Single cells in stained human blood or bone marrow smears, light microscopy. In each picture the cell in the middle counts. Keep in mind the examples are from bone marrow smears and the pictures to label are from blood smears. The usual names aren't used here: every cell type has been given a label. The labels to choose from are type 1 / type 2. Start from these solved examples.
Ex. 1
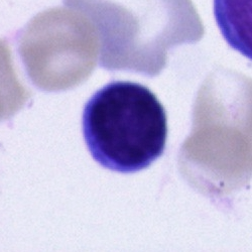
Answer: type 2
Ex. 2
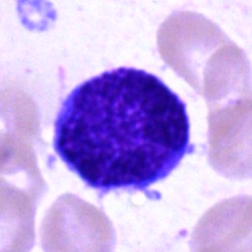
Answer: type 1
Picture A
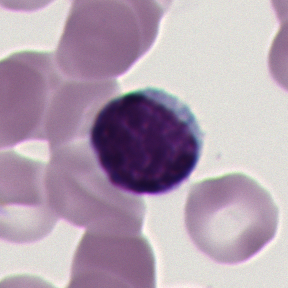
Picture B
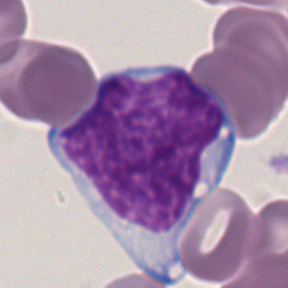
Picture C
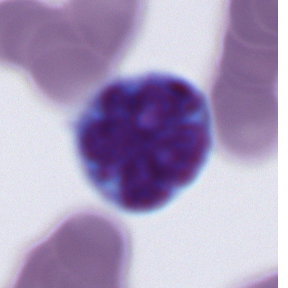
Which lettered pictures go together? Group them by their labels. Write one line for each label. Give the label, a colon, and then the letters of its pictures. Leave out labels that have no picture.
type 1: B
type 2: A, C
